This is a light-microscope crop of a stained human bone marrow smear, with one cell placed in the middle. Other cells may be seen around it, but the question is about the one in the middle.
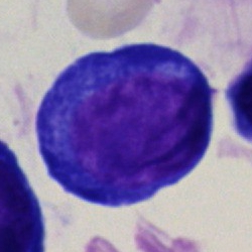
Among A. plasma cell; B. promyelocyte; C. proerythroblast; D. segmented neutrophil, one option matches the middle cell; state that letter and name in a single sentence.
Option C correctly states that the central cell is a proerythroblast.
